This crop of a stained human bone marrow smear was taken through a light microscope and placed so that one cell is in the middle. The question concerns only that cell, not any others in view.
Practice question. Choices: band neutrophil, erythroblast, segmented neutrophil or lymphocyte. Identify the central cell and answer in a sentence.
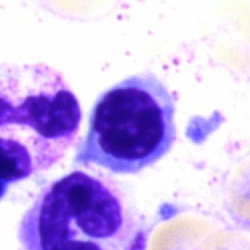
The center cell of this crop is an erythroblast.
